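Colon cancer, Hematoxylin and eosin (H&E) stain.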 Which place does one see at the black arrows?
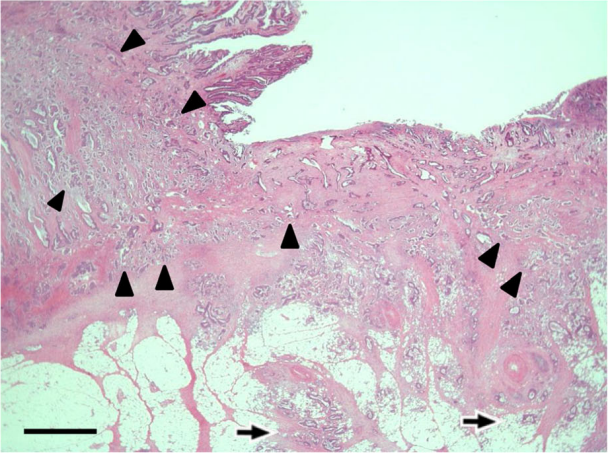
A: The subserosa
